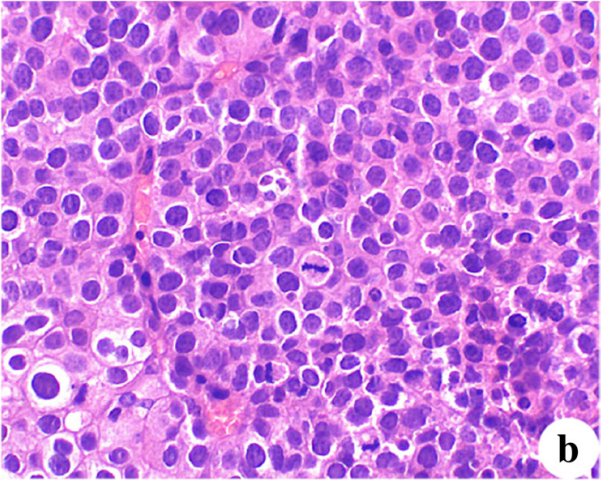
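Nuclear size varies from cell to cell. Several cells are in division, with dark condensed chromosomes lying as bars or clumps across the cell. A few cells appear shrunken with dense dark nuclei and clear halos around them. Thin strands of pink material and a few small vessels containing red cells run between the tumor cells.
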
